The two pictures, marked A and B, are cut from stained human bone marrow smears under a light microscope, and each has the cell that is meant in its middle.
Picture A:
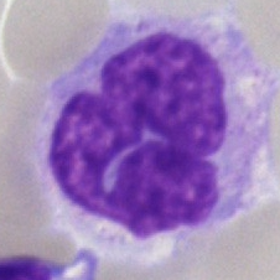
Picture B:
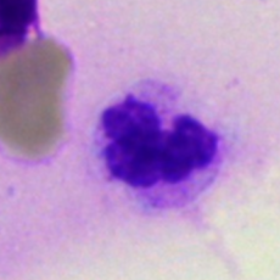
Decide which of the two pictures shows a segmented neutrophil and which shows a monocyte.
A: monocyte
B: segmented neutrophil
